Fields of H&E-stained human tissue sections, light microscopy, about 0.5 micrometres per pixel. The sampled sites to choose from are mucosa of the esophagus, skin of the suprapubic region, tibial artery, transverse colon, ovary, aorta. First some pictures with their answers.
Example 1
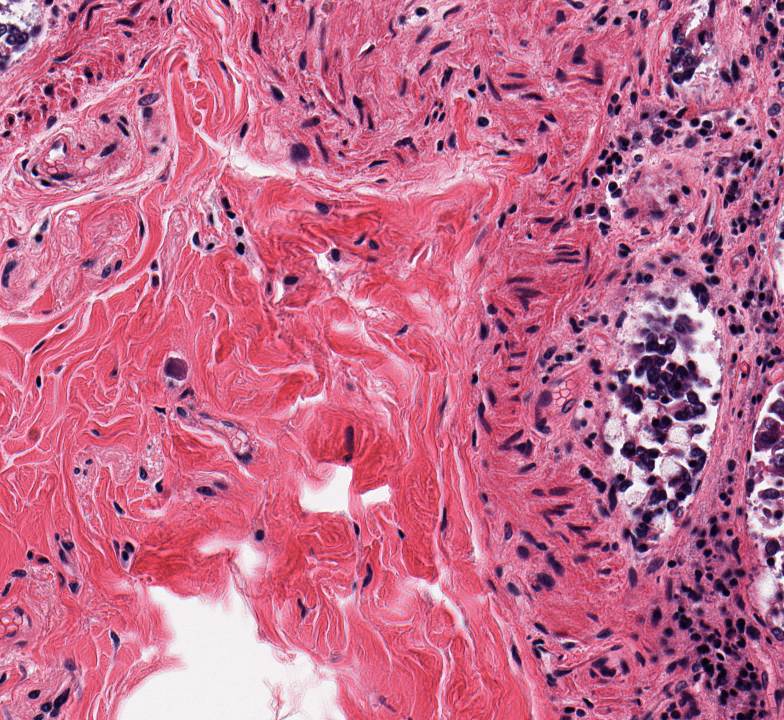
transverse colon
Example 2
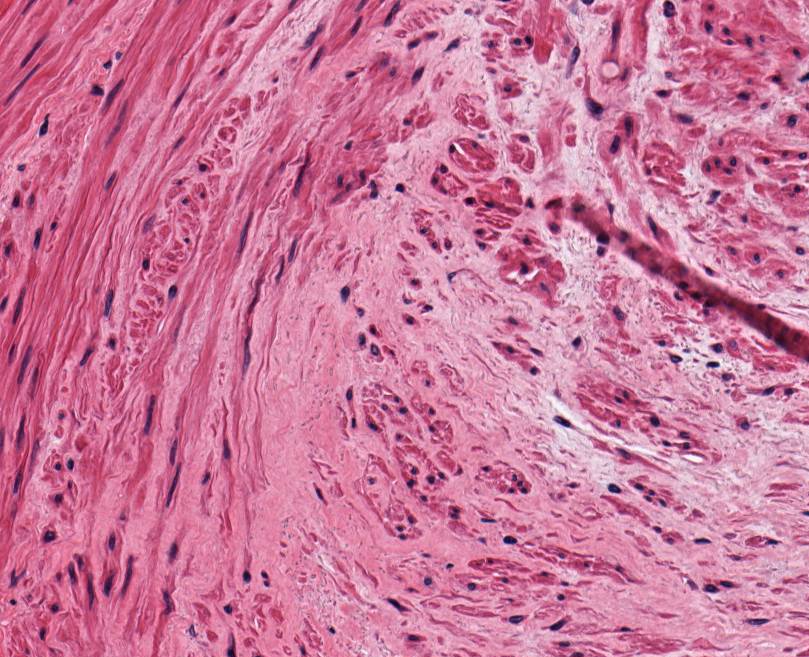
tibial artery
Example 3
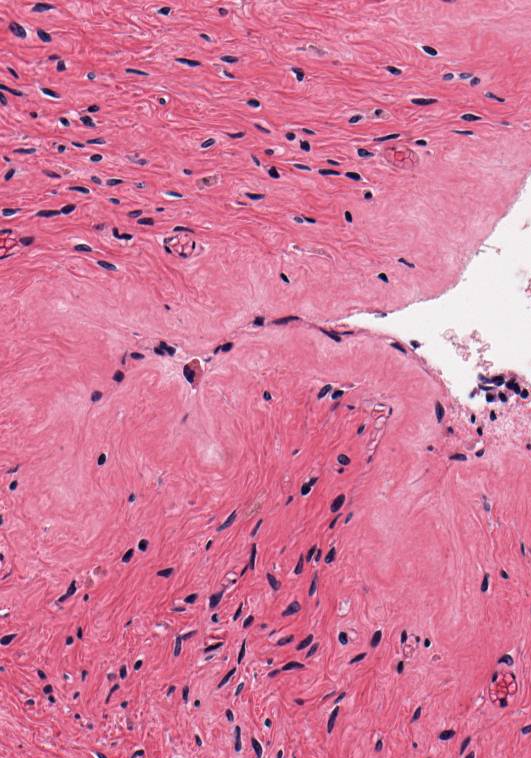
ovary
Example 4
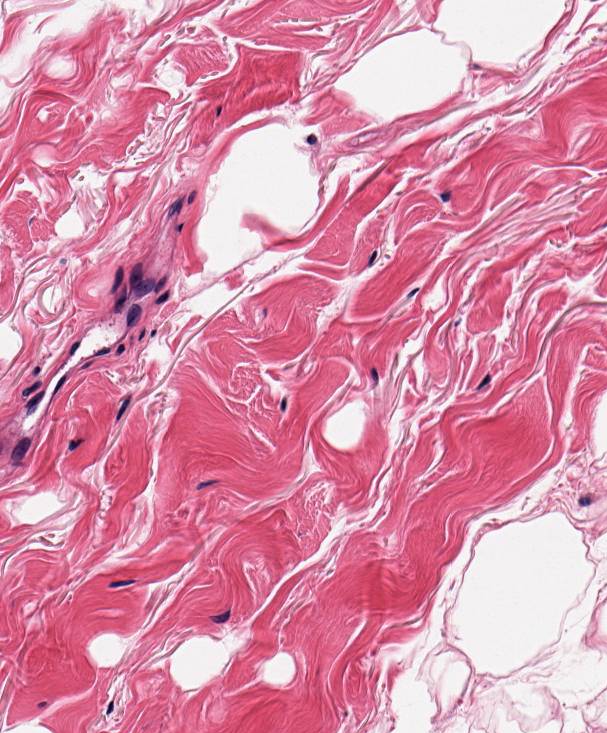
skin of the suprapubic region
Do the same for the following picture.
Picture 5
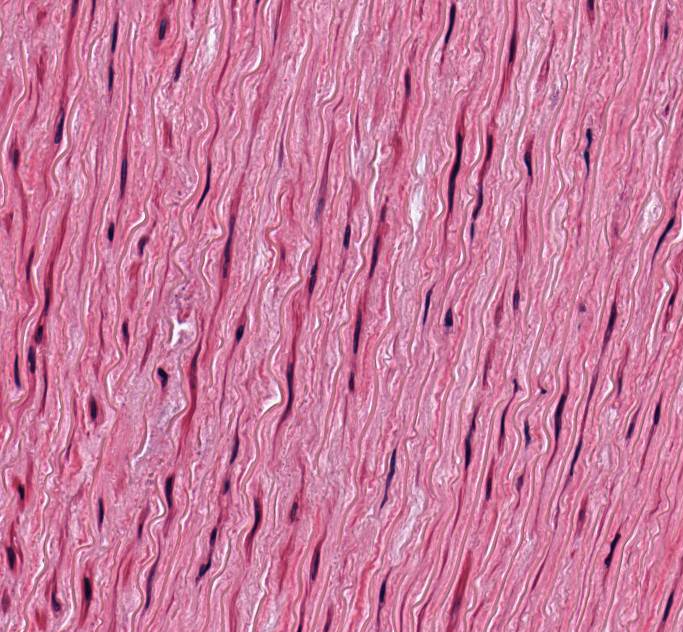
aorta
